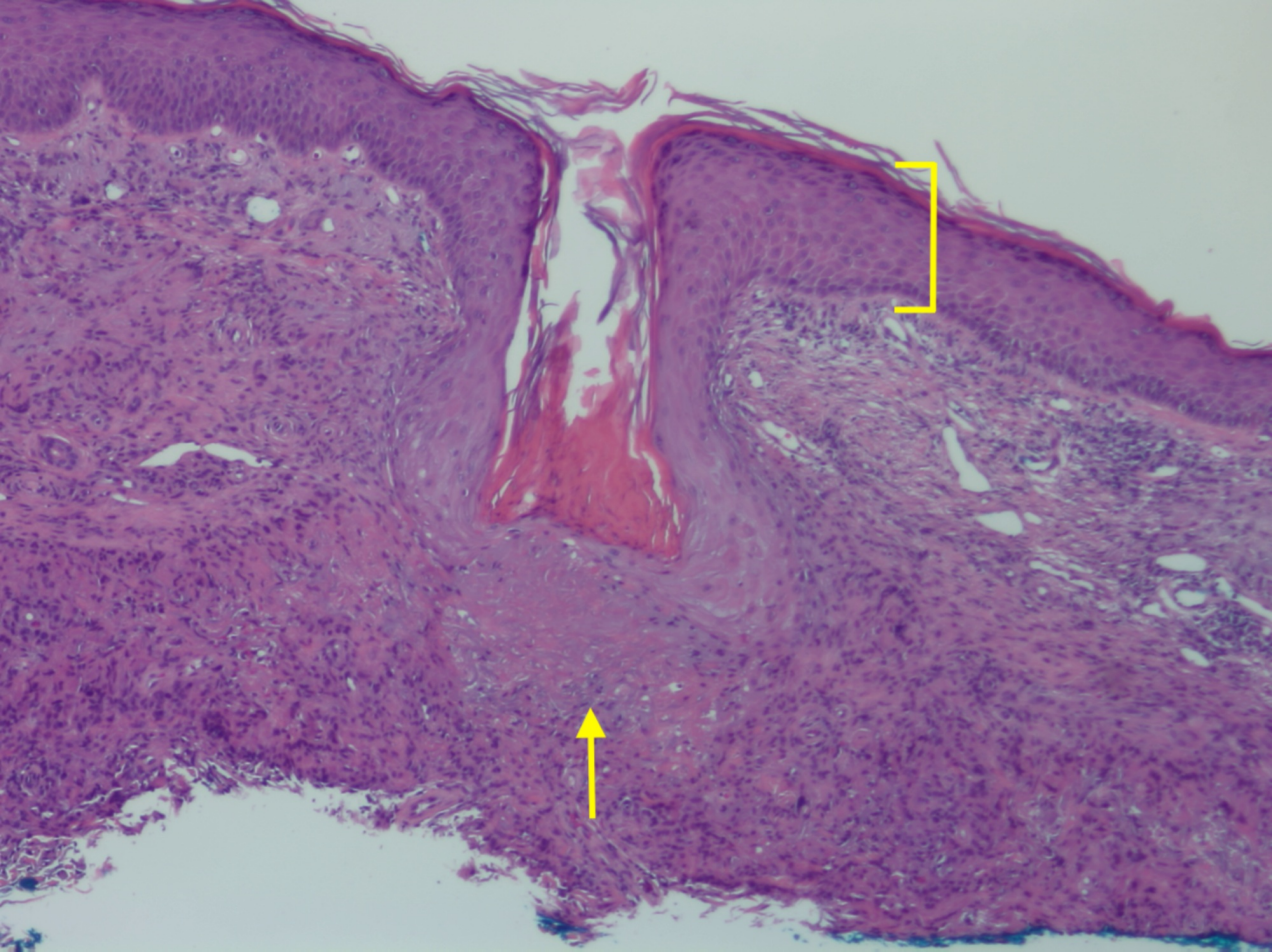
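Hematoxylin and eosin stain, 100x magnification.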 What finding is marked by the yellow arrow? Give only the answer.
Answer: Trans-epidermal elimination of granulomas.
